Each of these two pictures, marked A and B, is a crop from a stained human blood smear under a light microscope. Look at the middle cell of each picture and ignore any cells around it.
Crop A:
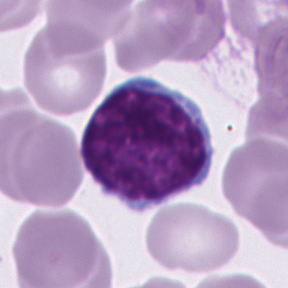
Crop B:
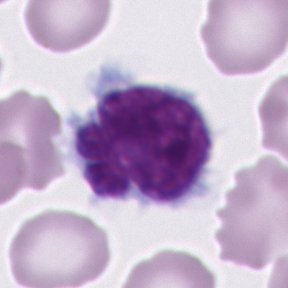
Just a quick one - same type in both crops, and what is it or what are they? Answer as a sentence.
No, cell A is a typical lymphocyte, and cell B is a hairy cell.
